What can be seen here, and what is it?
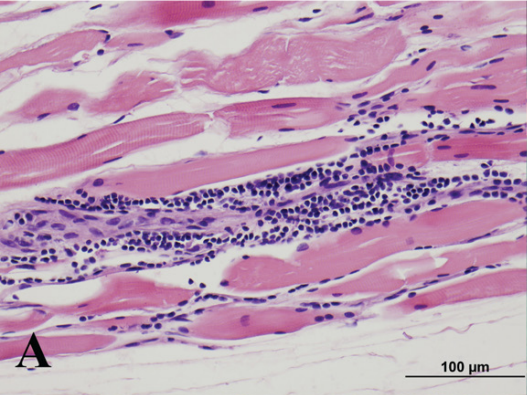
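Skeletal muscle in longitudinal section shows a chronic inflammatory infiltrate among the muscle fibers. The fibers are long, pink ribbons, some with visible cross-striations, and carry flattened dark nuclei at their edges. Through the middle of the field runs a dense band of small, round, darkly stained nucleated cells that pushes the fibers apart. Scattered cells of the same kind extend into the spaces between neighbouring fibers. The fibers vary in width and are separated by clear gaps.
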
